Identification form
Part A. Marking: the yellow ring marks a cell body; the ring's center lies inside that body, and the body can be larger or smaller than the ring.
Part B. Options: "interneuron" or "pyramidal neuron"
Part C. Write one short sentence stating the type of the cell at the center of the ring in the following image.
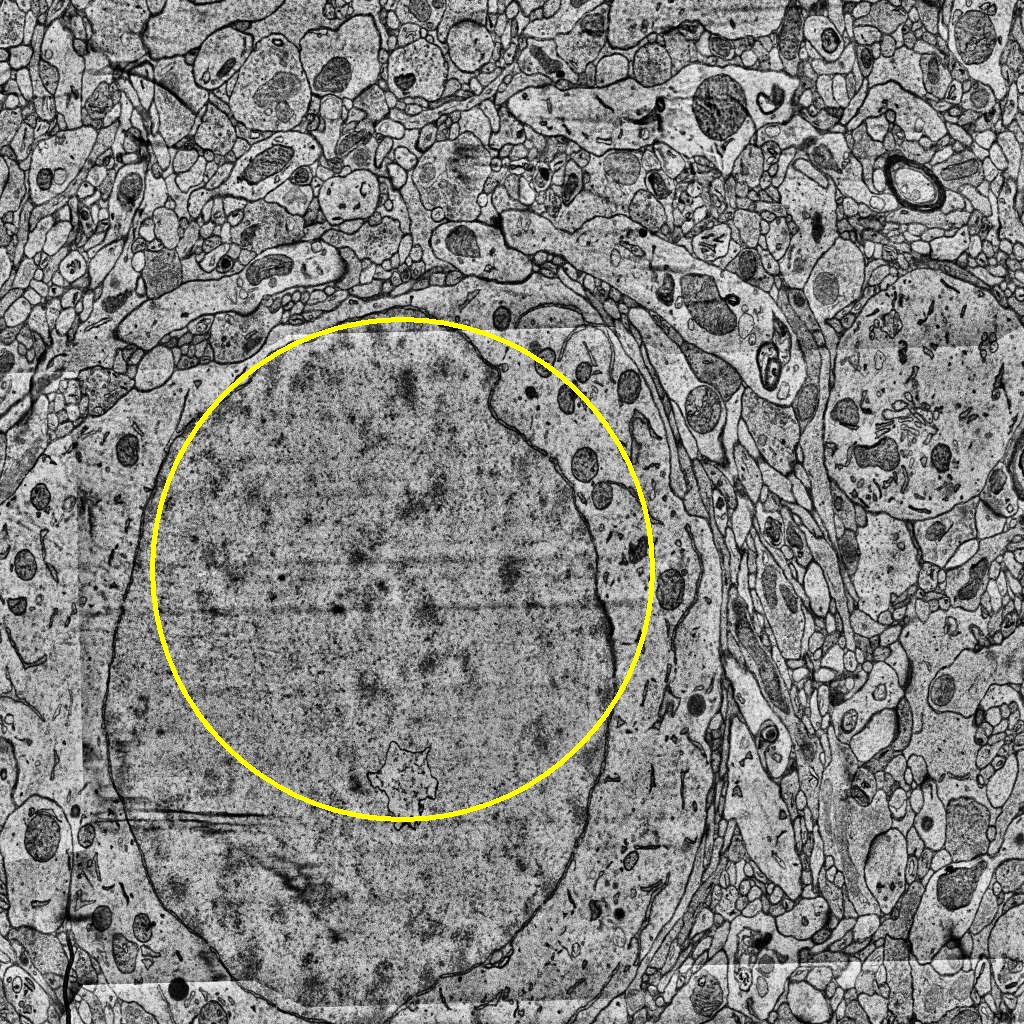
The center of the ring holds a pyramidal neuron.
